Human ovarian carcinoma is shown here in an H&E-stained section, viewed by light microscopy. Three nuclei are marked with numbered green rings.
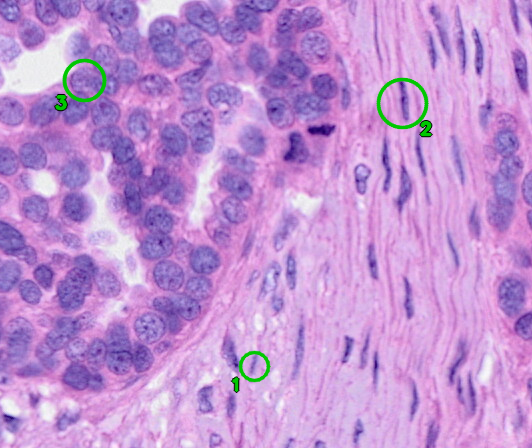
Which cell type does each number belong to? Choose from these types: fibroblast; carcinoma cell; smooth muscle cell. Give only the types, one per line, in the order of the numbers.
fibroblast
fibroblast
carcinoma cell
